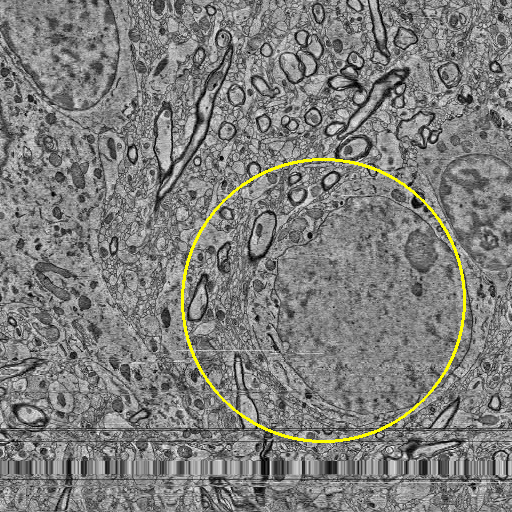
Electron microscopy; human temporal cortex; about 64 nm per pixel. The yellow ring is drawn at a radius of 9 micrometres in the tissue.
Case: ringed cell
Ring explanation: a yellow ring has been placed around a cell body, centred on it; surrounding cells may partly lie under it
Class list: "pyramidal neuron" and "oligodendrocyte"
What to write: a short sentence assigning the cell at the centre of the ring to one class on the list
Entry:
The cell at the ring's centre is a pyramidal neuron.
